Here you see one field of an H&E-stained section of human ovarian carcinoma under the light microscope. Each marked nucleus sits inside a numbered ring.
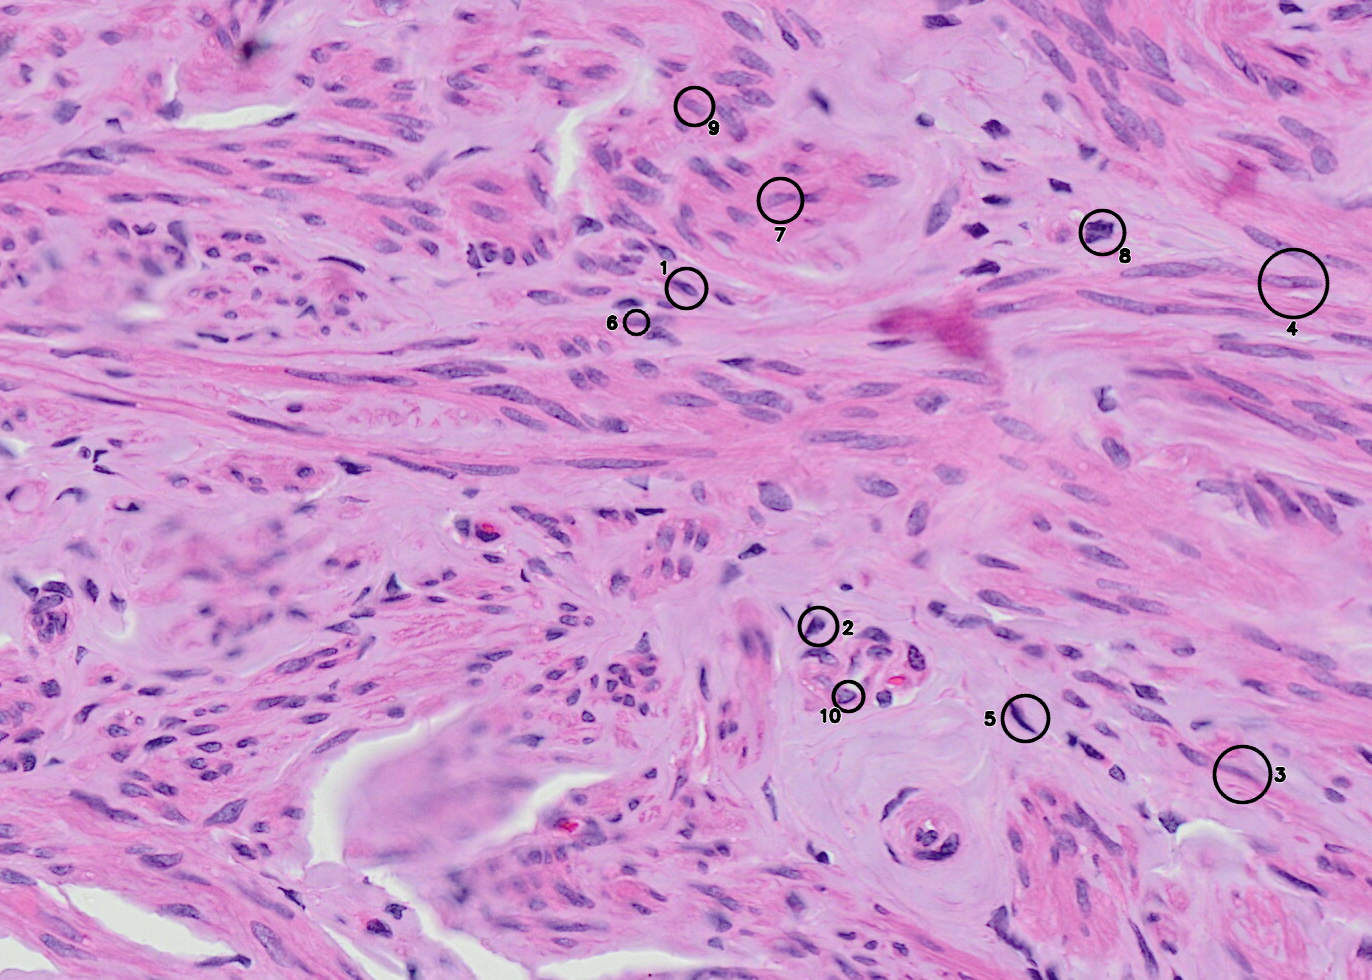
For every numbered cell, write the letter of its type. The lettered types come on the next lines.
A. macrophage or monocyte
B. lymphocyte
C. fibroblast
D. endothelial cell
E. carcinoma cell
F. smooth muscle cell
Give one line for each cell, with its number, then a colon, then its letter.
1: F
2: C
3: F
4: F
5: C
6: F
7: F
8: C
9: F
10: D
